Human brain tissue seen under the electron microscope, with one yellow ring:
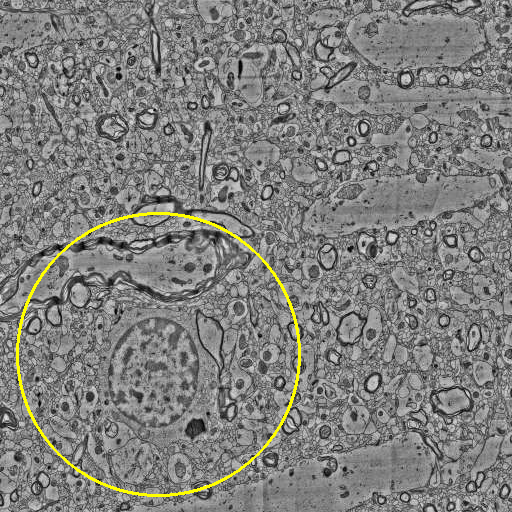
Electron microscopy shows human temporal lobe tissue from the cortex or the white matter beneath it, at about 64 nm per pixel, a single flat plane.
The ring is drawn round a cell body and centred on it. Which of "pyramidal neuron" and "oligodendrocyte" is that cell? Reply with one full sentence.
The picture shows an oligodendrocyte at the very centre of the yellow ring.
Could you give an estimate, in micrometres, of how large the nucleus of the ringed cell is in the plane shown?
Roughly 7 by 6 micrometres in this plane, for the nucleus of the ringed cell.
